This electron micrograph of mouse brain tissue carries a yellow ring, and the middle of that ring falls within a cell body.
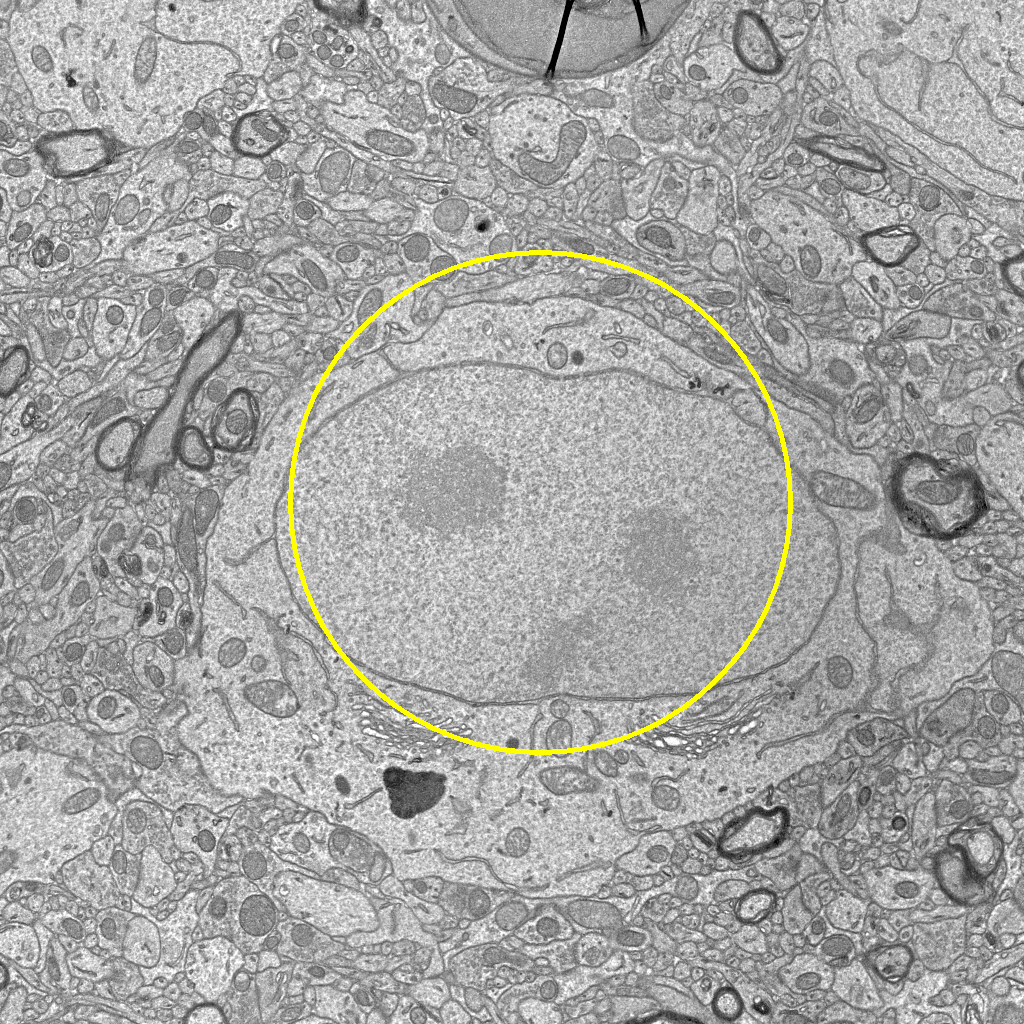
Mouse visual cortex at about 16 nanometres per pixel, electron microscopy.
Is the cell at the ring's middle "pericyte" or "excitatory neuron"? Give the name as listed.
excitatory neuron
